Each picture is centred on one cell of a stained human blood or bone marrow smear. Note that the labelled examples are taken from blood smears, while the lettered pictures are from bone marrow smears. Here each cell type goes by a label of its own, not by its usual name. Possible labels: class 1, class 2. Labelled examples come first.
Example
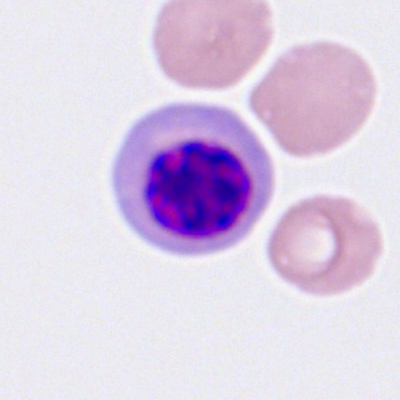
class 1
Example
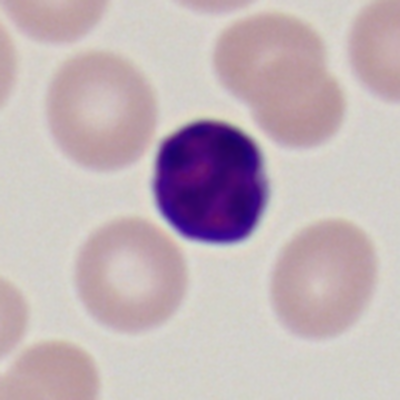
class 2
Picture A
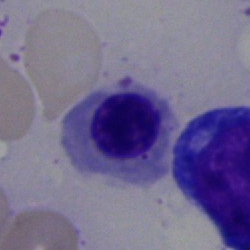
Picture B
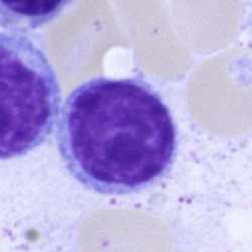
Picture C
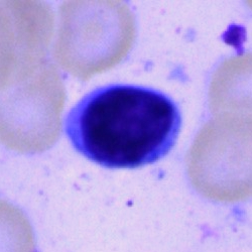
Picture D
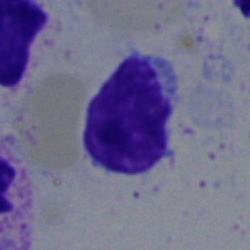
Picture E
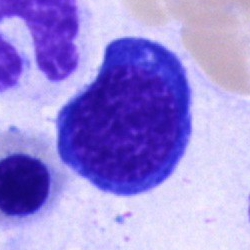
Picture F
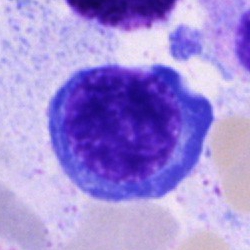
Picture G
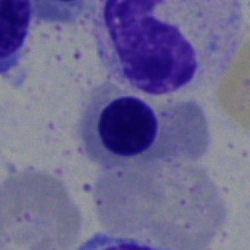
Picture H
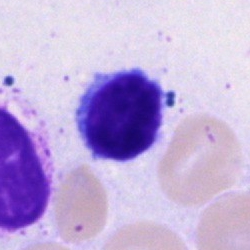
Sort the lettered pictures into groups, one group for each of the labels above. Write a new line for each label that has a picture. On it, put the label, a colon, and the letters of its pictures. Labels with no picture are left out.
class 1: A, E, F, G
class 2: B, C, D, H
